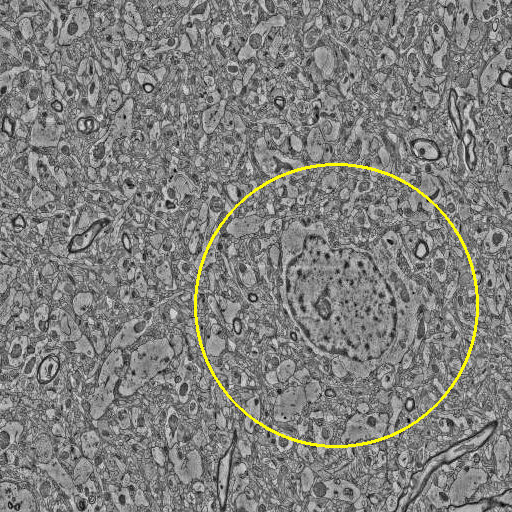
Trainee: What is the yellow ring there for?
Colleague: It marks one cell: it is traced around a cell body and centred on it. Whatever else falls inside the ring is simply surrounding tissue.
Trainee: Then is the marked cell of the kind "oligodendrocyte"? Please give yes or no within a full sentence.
No, the marked cell at the centre of the yellow ring is of a different kind.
